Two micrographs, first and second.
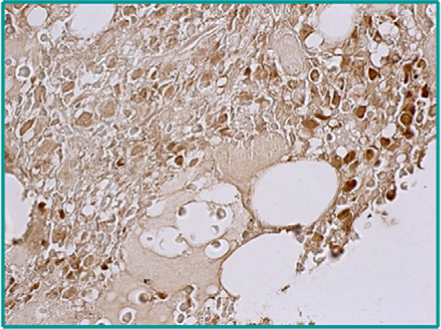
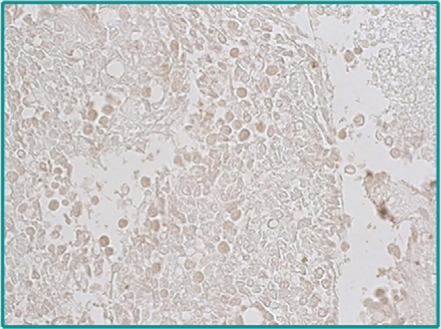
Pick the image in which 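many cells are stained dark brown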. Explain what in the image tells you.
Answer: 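Second image: cells are only faintly tan, with no dark brown cells. First image: numerous cells are stained medium to dark brown. The answer: the first image.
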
